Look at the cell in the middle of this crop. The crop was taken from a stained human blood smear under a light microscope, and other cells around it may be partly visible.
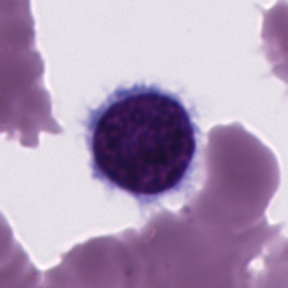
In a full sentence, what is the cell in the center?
The central cell, amid any neighbouring cells, is a hairy cell.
